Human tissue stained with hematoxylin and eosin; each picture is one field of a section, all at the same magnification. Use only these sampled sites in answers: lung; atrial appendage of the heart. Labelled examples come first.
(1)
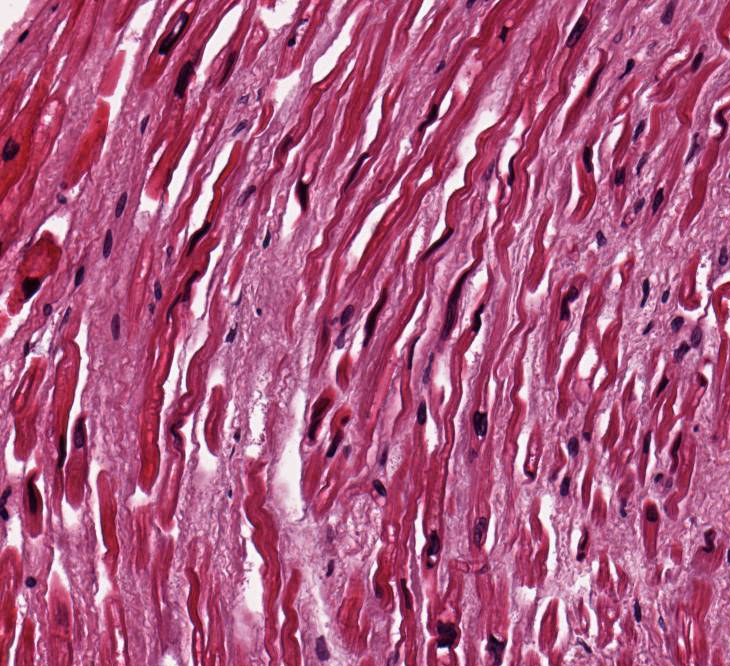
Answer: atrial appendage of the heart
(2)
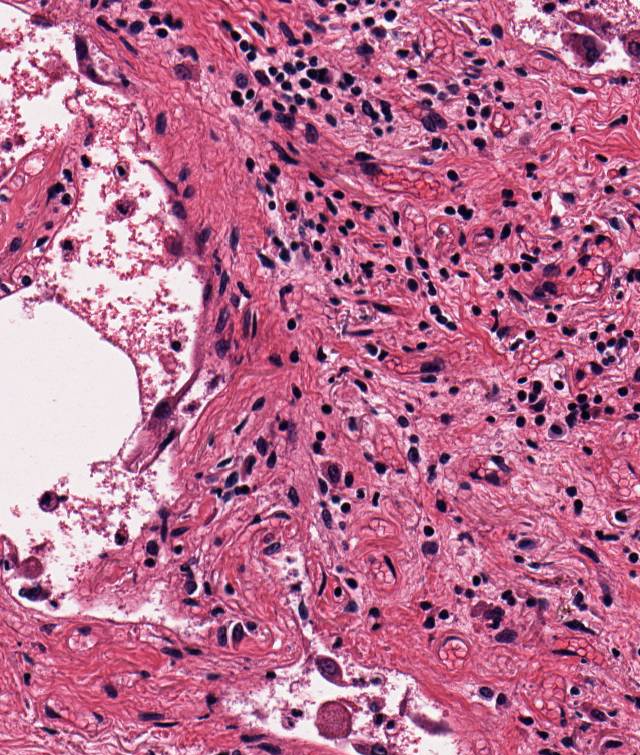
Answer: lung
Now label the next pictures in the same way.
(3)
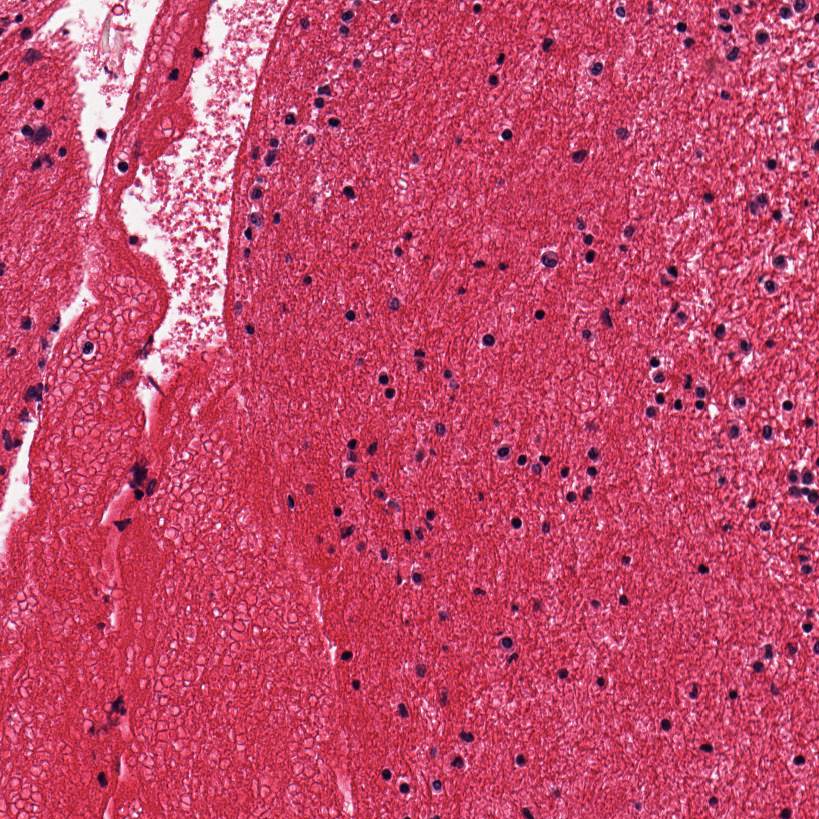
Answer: atrial appendage of the heart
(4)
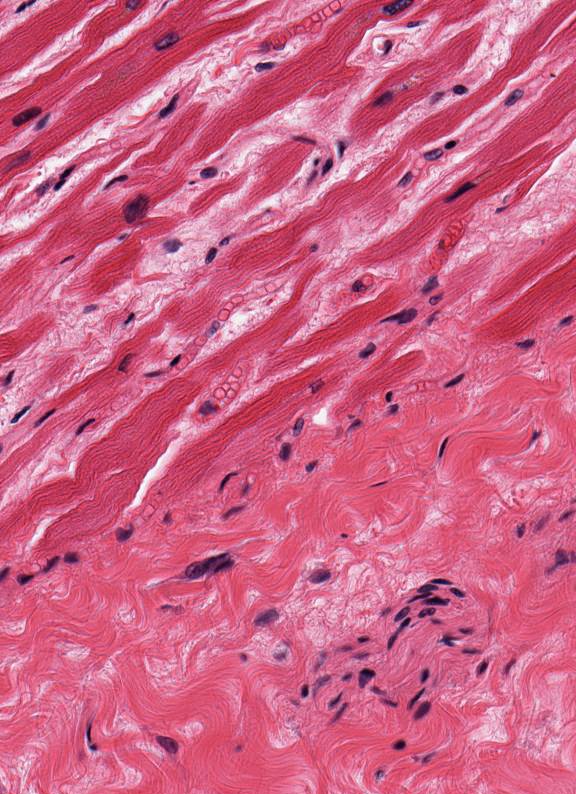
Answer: atrial appendage of the heart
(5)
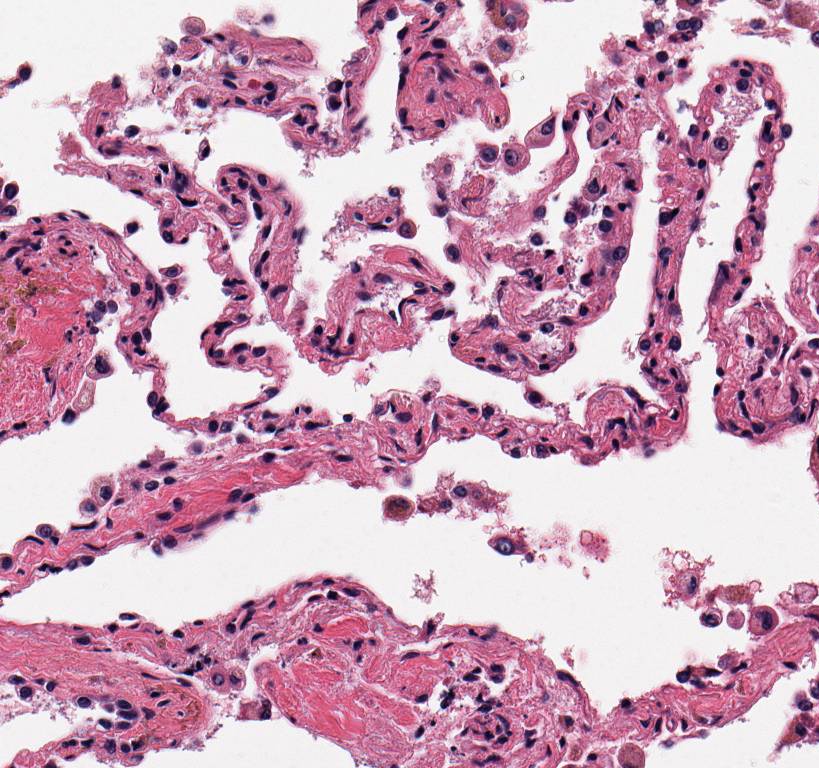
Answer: lung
